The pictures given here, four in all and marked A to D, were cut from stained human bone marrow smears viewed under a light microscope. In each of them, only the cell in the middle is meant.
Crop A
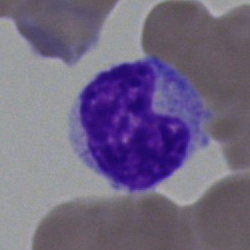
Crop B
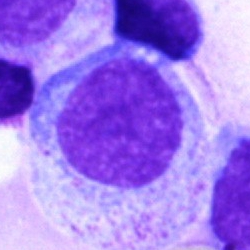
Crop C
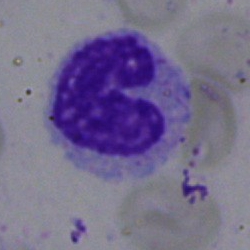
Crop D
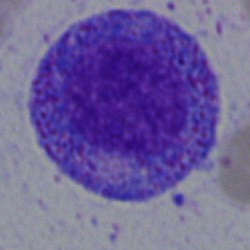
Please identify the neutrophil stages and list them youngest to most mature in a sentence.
In sequence of increasing maturity, the order is crop D (a promyelocyte), crop B (a myelocyte), crop A (a metamyelocyte) and crop C (a band neutrophil).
